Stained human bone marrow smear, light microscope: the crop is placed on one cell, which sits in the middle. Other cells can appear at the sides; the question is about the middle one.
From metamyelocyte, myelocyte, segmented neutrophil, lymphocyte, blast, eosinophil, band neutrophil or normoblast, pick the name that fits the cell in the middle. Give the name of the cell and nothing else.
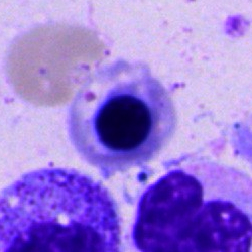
normoblast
